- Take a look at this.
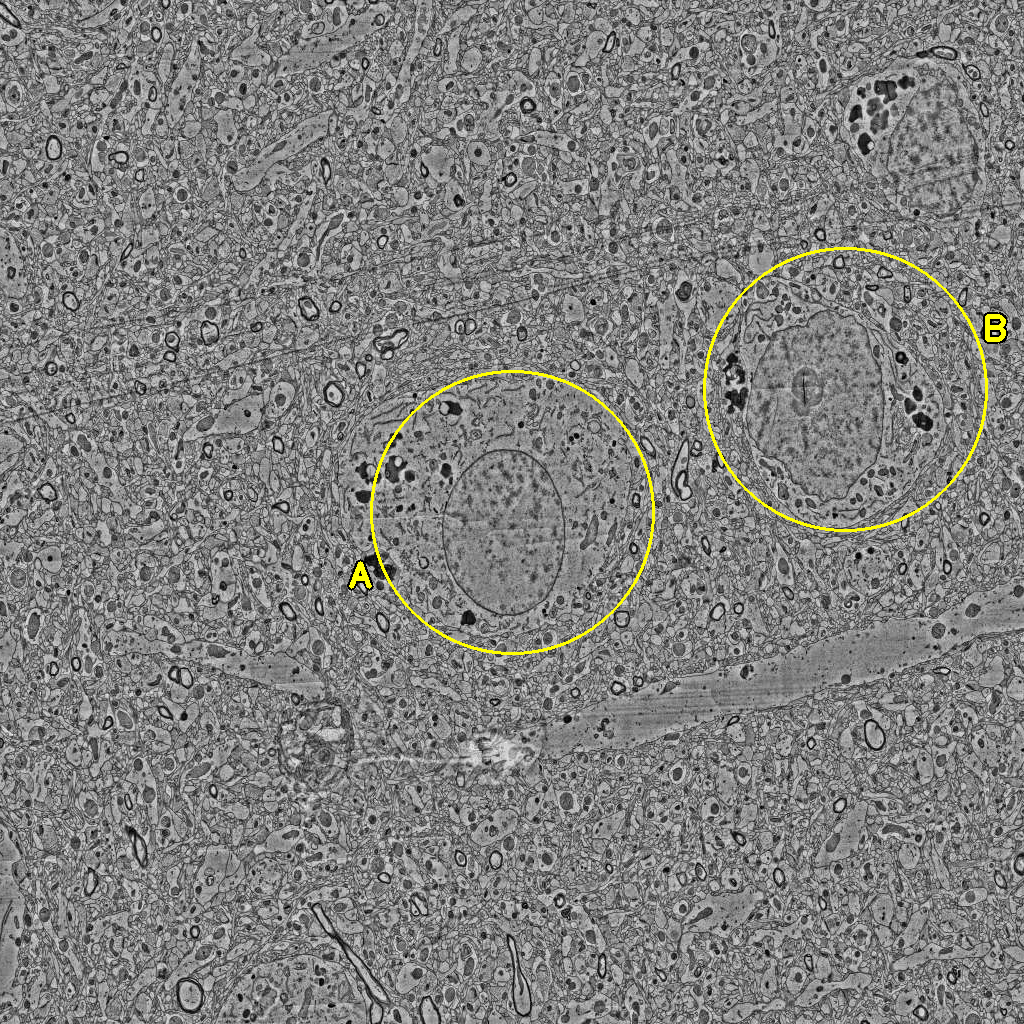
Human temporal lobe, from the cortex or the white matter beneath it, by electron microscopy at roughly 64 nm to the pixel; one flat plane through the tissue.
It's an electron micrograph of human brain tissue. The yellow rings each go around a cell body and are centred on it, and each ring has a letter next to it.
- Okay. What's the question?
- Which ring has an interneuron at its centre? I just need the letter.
B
